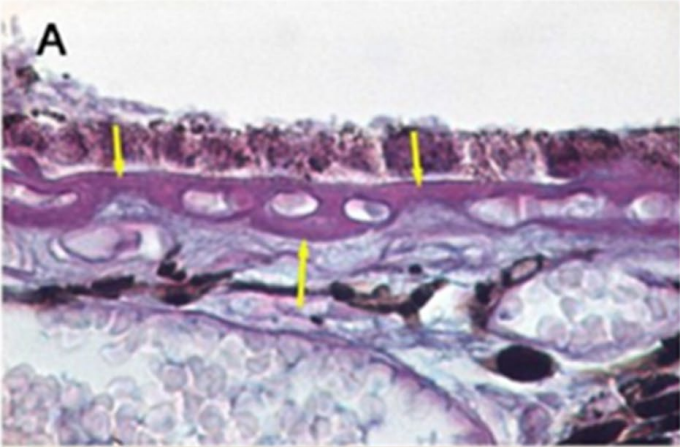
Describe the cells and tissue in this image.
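This section shows the outer eye wall: a pigmented epithelium resting on Bruch's membrane, with the choroid below. At the top lies a single layer of epithelial cells packed with dark brown-black pigment granules, with some cell borders visible between them. Directly beneath runs a thin, continuous, strongly magenta band. Against its underside sits a row of small rounded capillary lumens with magenta walls, separated by magenta-stained connective tissue. Deeper lies loose, pale bluish connective tissue holding elongated, dark-pigmented cells. Large vessels at the bottom are filled with pale, round red blood cells.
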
